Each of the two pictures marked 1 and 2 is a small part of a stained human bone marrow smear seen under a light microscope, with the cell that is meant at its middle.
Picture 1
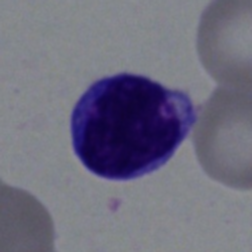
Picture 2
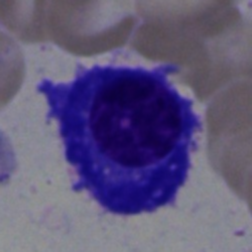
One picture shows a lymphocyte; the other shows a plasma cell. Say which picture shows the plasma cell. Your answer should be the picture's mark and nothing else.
2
